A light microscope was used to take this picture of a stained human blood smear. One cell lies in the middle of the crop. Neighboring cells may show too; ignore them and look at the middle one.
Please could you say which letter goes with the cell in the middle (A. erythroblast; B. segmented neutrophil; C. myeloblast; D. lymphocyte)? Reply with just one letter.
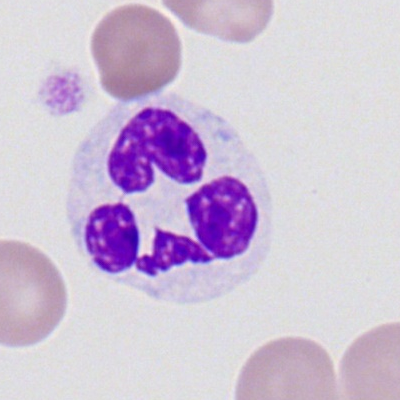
B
